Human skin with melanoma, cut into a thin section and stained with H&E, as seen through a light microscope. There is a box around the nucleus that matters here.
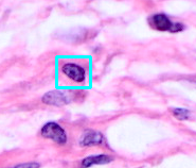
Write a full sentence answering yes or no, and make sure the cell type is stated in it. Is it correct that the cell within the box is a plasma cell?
Yes, the cell within the box is assigned the identity of a plasma cell.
